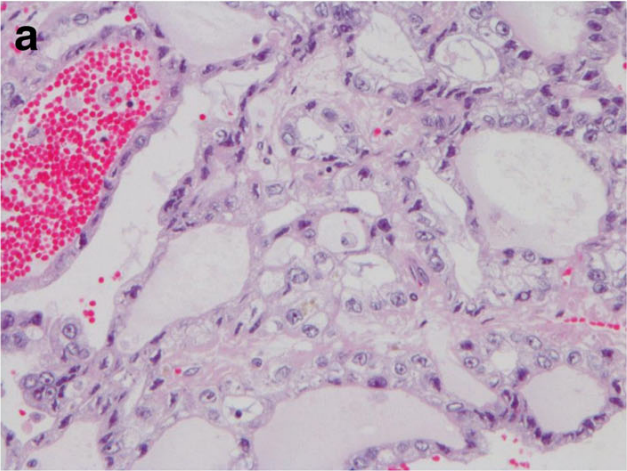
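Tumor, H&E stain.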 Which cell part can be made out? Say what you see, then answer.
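Many tumor cells have pale, almost unstained cytoplasm. Cell borders are visible around the pale cytoplasm.
Conclusion: clear cytoplasm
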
